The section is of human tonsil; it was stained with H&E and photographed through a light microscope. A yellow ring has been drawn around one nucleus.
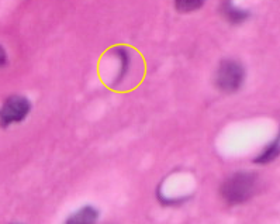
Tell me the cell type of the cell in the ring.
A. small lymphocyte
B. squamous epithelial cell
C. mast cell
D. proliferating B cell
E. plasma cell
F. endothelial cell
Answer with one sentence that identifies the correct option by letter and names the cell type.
Since the cell in the ring is a squamous epithelial cell, the right option is B.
